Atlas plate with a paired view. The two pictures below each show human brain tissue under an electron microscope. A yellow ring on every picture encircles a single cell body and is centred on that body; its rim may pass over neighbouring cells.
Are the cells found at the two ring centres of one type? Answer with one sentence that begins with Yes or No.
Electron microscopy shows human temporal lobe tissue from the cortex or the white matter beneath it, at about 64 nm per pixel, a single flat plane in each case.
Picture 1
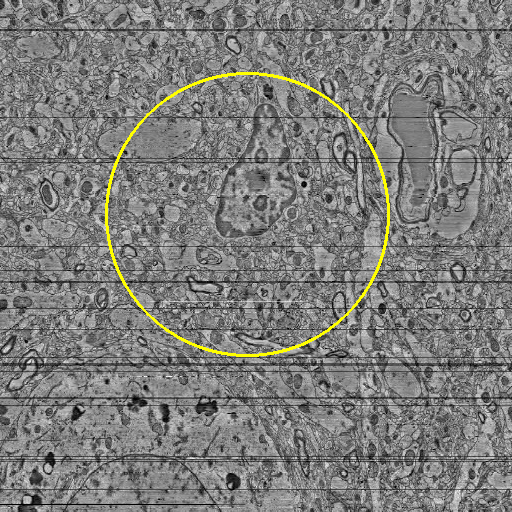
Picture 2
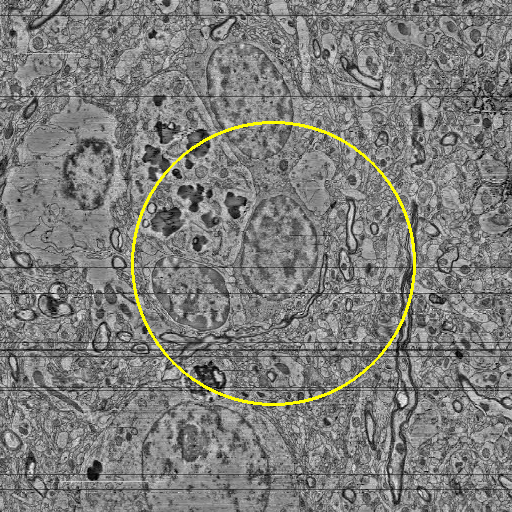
No, the two cells lying at the centres of the rings are of two types.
